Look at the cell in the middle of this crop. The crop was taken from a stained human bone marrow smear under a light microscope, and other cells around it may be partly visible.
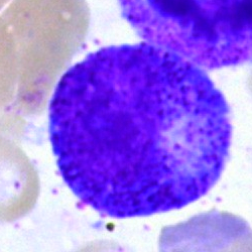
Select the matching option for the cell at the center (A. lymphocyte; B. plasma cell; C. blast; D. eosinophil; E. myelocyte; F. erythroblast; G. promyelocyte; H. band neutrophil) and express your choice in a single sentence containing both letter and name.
The best answer is option G, since the cell in the middle is a promyelocyte.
